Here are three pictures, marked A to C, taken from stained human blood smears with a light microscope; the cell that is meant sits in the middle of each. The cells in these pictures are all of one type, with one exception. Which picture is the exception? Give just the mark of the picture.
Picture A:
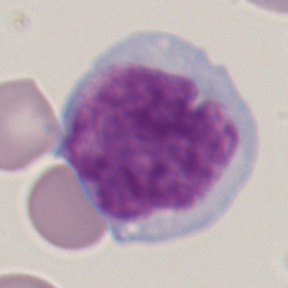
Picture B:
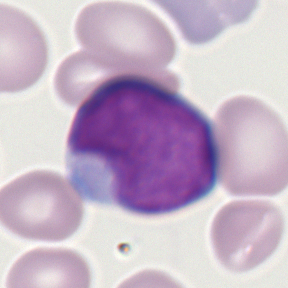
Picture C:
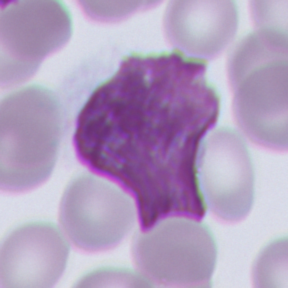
C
